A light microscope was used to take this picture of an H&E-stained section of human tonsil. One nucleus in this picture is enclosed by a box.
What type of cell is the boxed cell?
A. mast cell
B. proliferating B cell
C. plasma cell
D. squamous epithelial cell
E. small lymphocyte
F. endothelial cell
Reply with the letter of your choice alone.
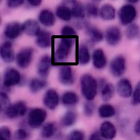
E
